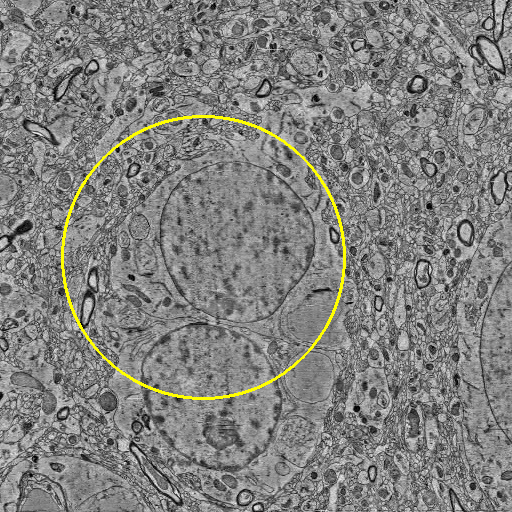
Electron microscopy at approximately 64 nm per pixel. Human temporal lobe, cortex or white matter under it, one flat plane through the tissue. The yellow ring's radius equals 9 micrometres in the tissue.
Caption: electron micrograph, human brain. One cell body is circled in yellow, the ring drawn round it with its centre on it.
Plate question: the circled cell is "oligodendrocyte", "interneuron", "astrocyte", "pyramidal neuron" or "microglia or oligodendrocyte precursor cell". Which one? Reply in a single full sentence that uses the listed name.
The yellow ring on the plate is centred on an astrocyte, going by the listed names.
